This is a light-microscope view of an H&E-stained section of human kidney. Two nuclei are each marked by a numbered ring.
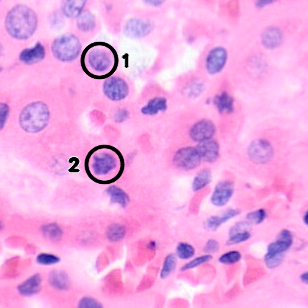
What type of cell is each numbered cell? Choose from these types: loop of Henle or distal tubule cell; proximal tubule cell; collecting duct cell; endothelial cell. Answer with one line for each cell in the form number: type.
1: loop of Henle or distal tubule cell
2: proximal tubule cell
